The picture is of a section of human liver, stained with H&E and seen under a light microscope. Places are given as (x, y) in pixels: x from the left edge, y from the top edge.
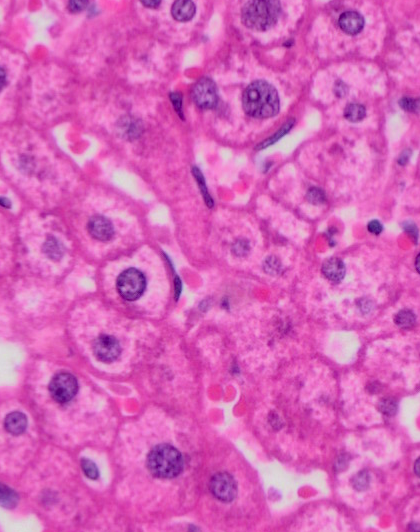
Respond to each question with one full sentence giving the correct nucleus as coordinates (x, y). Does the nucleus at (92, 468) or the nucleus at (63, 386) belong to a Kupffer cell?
The nucleus lying at (92, 468) is the nucleus of a Kupffer cell.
